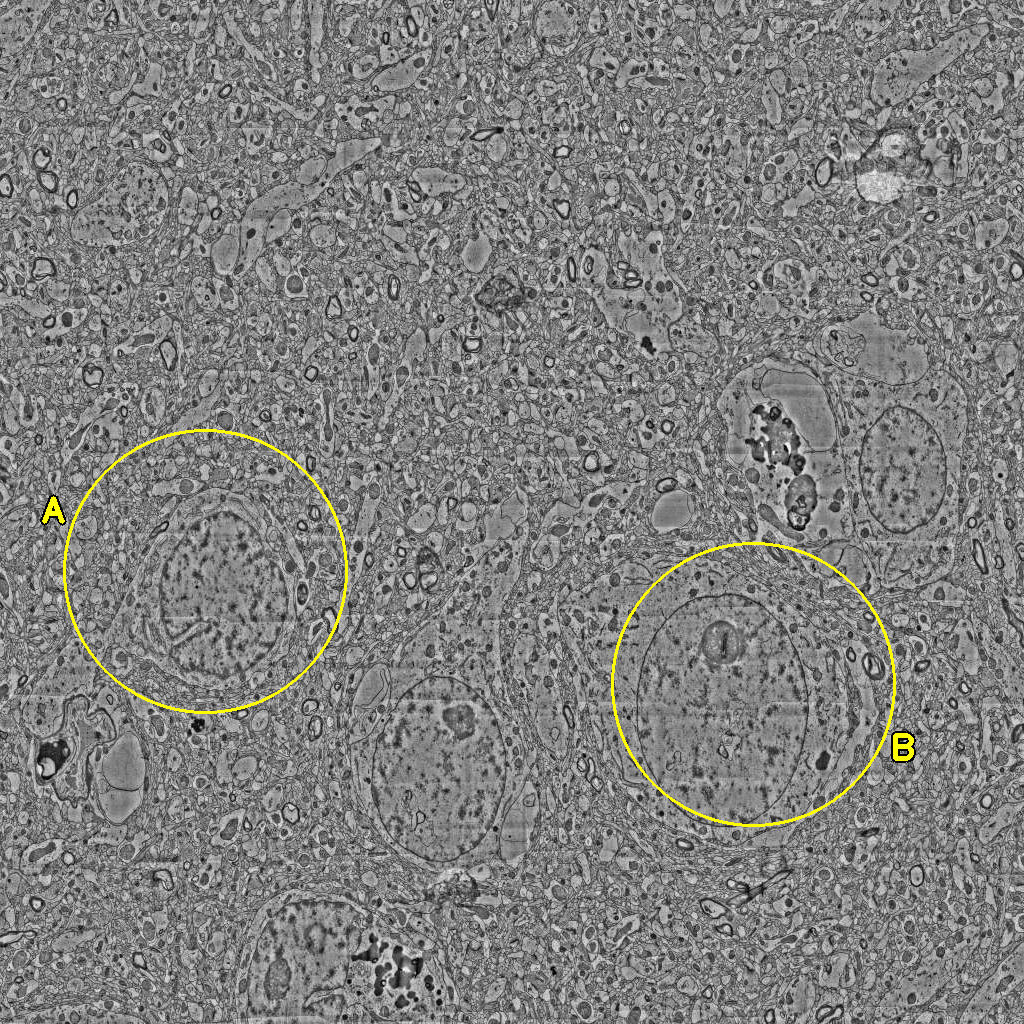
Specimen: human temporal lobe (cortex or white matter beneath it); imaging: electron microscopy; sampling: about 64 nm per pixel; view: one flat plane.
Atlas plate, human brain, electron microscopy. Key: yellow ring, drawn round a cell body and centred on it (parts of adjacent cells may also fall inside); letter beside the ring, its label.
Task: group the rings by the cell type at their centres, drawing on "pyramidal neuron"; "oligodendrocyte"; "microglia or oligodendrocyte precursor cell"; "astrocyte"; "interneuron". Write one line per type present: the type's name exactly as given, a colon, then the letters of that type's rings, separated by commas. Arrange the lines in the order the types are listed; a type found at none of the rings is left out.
pyramidal neuron: B
interneuron: A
